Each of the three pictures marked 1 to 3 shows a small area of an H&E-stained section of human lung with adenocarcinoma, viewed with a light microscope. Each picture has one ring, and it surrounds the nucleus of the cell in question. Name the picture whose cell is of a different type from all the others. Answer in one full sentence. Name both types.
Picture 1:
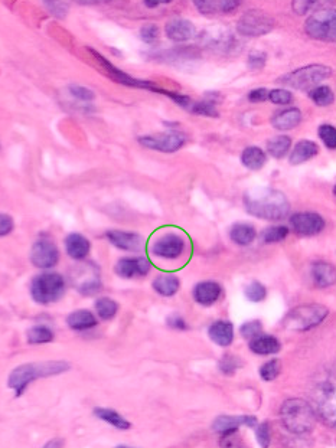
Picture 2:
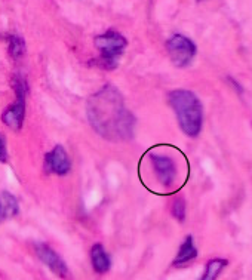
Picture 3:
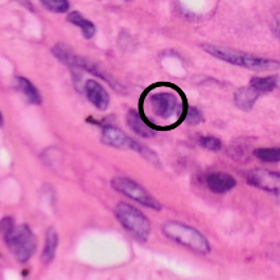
Picture 2 is the odd one out: it shows a mast cell, while the others show lymphocytes.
